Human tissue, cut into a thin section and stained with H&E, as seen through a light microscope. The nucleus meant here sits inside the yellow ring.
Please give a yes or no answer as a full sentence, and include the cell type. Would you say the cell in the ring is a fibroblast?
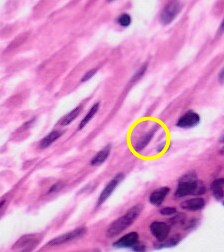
Yes, the cell in the ring is, by type, a fibroblast.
